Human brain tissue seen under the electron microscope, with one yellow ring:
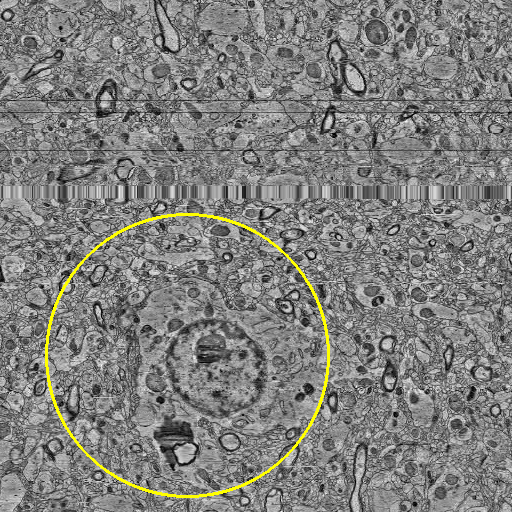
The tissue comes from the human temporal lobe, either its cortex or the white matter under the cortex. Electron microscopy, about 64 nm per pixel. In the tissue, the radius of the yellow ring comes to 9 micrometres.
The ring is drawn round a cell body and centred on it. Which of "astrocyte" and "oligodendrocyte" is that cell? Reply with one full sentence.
The picture shows an astrocyte at the very centre of the yellow ring.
